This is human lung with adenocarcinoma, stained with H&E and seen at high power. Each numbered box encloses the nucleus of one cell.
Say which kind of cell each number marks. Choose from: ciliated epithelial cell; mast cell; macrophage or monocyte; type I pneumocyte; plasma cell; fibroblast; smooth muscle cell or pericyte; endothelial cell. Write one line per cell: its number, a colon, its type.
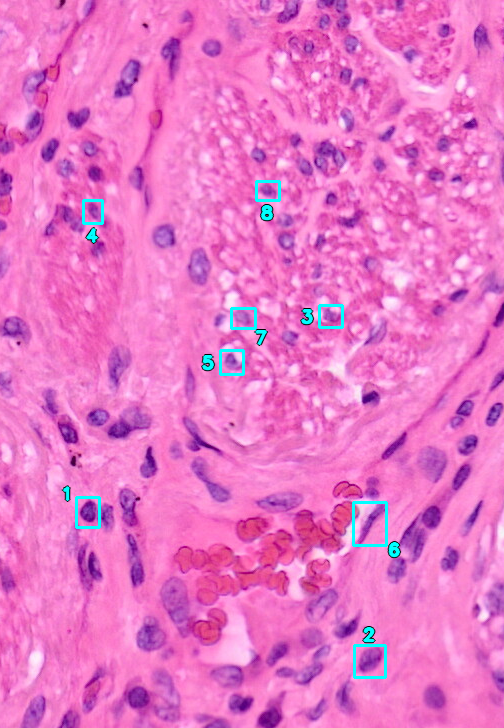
1: mast cell
2: mast cell
3: smooth muscle cell or pericyte
4: smooth muscle cell or pericyte
5: smooth muscle cell or pericyte
6: endothelial cell
7: smooth muscle cell or pericyte
8: smooth muscle cell or pericyte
